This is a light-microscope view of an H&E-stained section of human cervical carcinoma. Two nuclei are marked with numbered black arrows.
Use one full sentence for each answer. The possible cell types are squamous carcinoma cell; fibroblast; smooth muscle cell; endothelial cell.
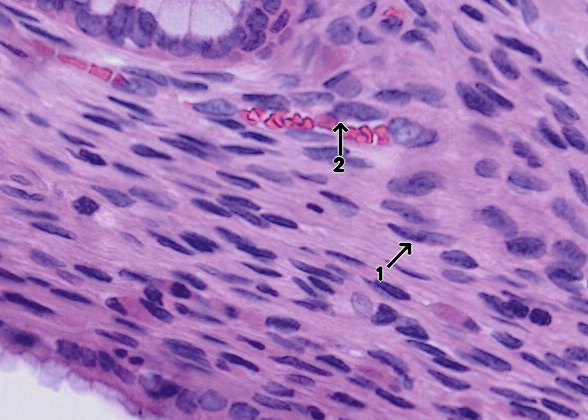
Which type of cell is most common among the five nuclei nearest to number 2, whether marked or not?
Fibroblasts account for more than half of the five nuclei nearest to number 2.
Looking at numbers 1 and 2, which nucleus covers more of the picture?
Nucleus 1 is the larger one, covering about 1.5 times the area of nucleus 2.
